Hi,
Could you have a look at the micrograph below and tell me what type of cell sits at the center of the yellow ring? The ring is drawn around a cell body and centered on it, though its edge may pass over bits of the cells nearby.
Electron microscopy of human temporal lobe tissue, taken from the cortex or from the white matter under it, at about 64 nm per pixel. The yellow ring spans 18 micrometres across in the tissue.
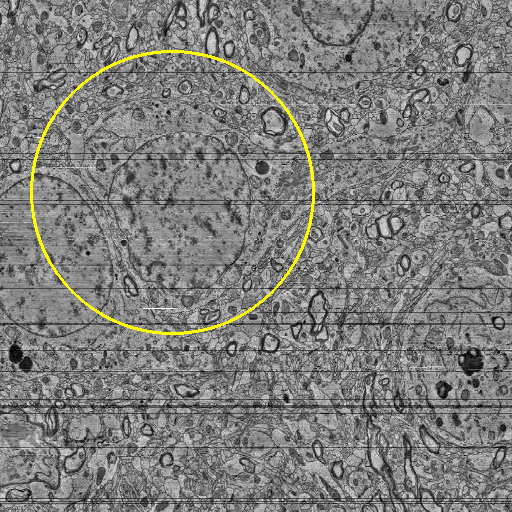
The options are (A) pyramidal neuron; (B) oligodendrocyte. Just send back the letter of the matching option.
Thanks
A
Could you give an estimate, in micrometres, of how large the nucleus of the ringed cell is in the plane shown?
In this plane the nucleus measures roughly 10 micrometres across.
